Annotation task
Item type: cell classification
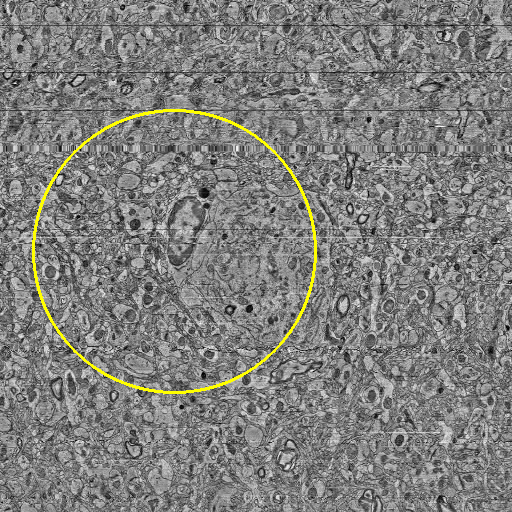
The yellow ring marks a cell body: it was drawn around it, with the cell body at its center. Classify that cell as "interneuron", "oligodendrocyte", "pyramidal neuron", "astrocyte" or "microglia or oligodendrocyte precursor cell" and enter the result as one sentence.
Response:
The ring's center falls on a microglial cell or oligodendrocyte precursor cell.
